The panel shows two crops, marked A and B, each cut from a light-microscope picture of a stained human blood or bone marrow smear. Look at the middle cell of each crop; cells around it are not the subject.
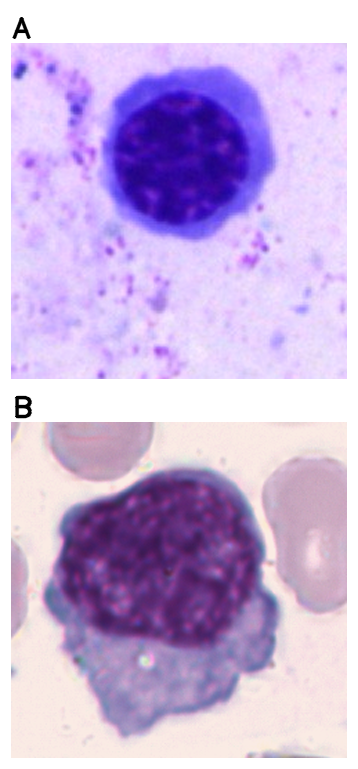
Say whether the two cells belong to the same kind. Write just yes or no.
no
